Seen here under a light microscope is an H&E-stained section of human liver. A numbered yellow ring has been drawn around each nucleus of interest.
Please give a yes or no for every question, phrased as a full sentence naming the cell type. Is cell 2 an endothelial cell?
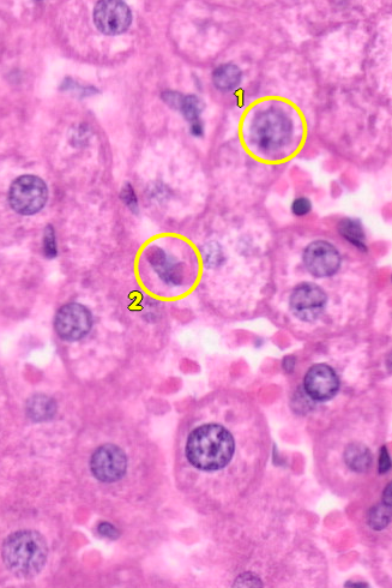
Yes, the cell corresponding to number 2 is an endothelial cell.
